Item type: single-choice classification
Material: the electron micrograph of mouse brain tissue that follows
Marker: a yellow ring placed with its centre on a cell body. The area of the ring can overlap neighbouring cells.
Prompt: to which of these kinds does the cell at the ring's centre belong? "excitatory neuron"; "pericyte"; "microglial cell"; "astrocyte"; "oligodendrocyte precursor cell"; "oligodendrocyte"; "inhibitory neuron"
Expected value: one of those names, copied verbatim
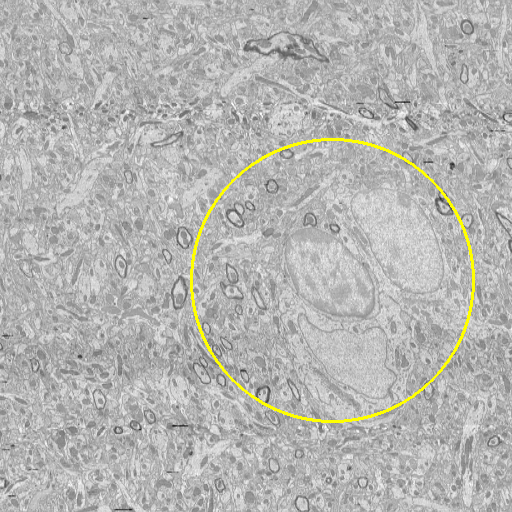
oligodendrocyte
